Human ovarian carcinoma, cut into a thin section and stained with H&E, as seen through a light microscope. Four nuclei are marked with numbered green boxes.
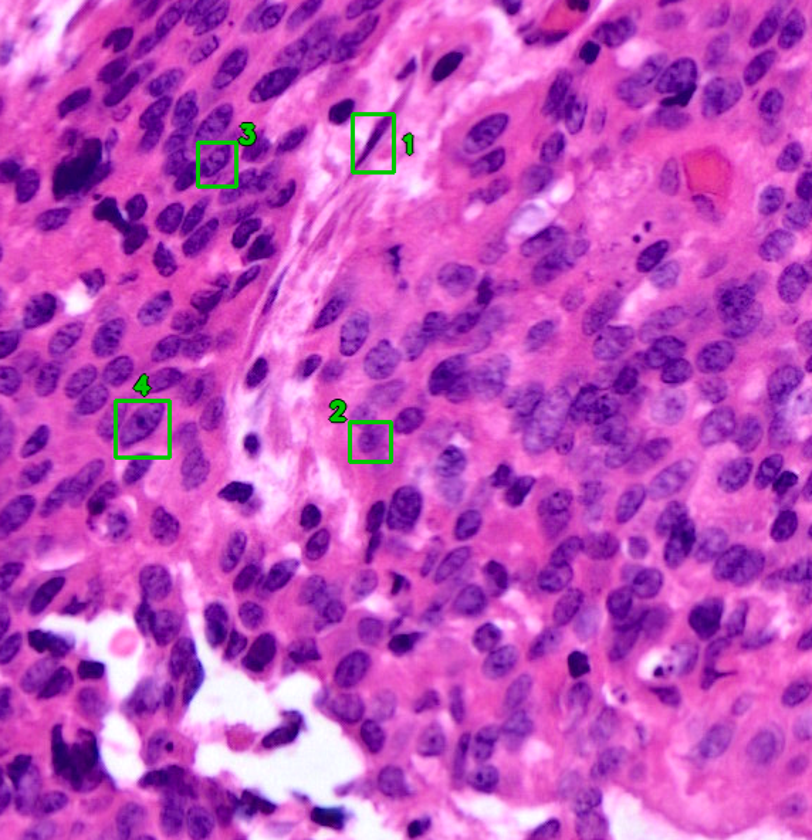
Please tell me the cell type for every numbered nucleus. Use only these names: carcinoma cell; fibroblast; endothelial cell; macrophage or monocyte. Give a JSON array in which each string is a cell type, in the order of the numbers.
["fibroblast", "carcinoma cell", "carcinoma cell", "carcinoma cell"]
